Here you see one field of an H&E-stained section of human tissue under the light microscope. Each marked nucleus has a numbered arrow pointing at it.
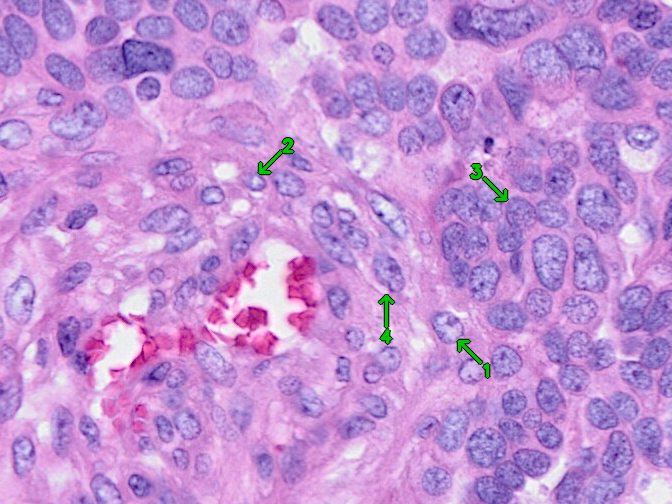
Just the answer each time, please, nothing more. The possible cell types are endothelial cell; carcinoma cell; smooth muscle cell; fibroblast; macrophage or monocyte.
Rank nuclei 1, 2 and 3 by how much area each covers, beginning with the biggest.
1, 3, 2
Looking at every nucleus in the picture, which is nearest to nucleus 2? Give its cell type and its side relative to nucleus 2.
a fibroblast, to the right of nucleus 2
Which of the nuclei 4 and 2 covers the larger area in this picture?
4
